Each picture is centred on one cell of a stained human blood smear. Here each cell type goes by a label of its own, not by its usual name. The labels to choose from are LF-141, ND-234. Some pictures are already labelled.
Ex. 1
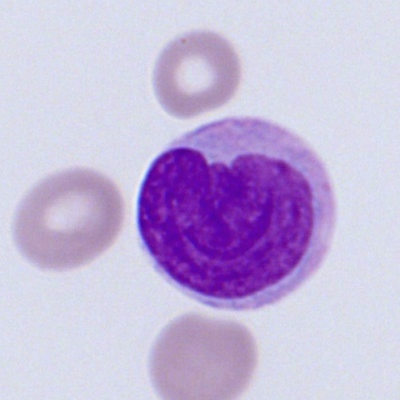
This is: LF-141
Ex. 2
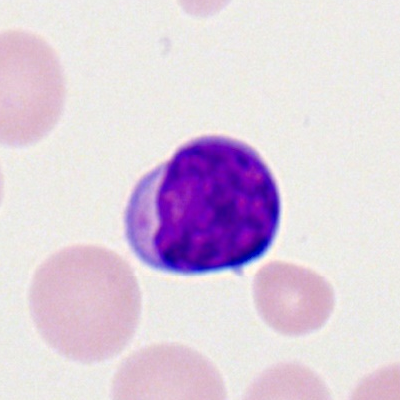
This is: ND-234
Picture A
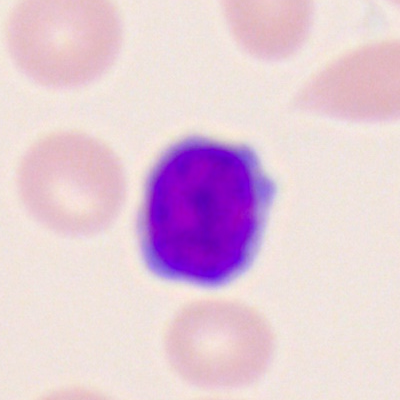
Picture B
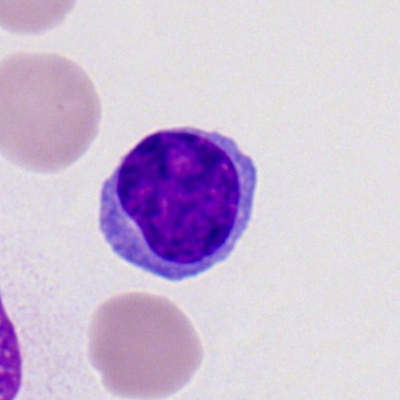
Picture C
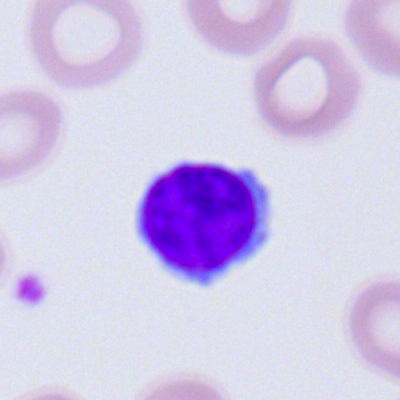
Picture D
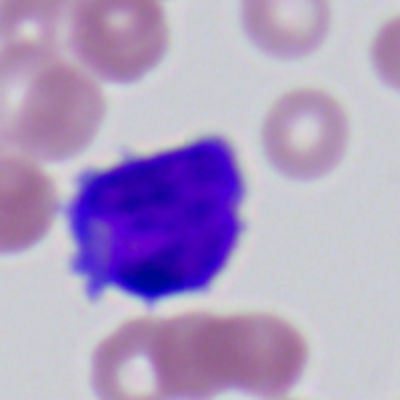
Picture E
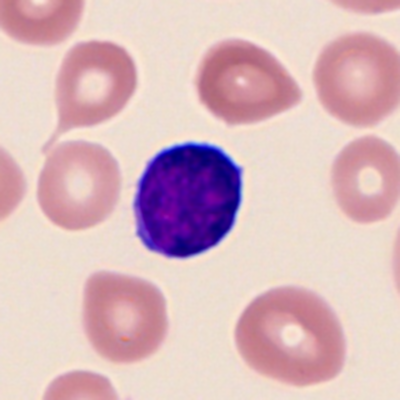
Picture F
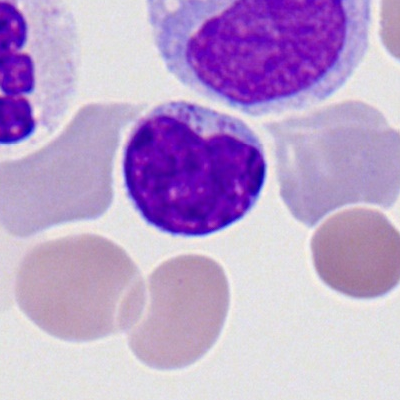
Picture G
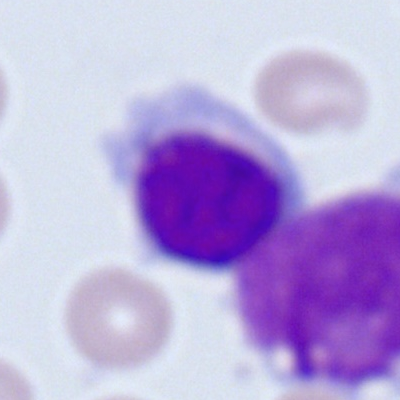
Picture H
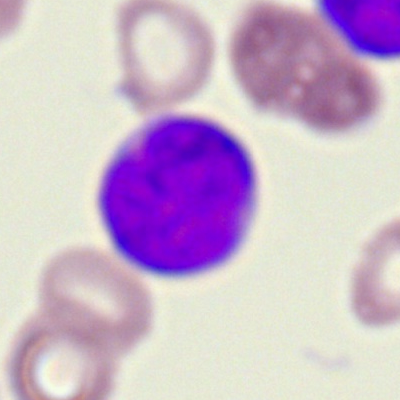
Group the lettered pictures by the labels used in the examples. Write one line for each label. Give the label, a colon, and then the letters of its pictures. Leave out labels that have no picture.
LF-141: D, H
ND-234: A, B, C, E, F, G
